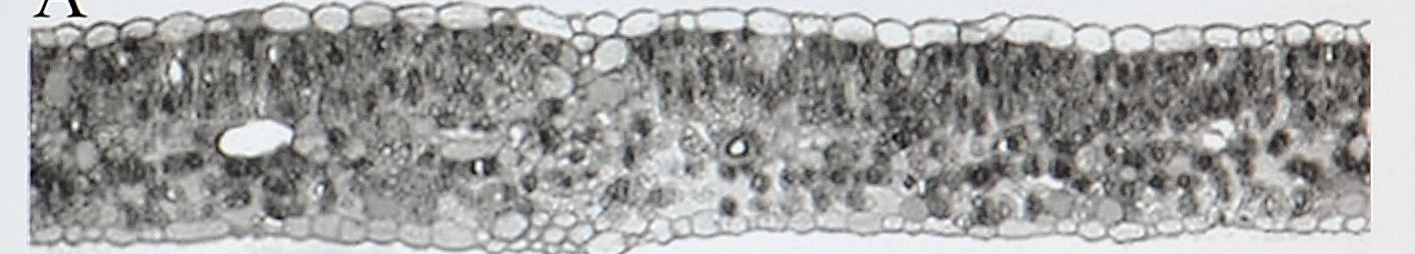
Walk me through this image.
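Leaf cross section of even thickness, bounded above and below by a single row of small rounded pale cells. Between them the mesophyll is densely packed with small cells containing many dark granules, giving a uniform grey texture. A small vein of tightly packed small rounded cells crosses the section near the middle, and one clear oval space lies on the left.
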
